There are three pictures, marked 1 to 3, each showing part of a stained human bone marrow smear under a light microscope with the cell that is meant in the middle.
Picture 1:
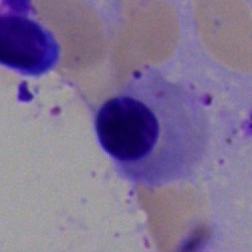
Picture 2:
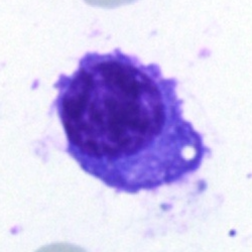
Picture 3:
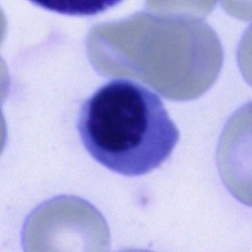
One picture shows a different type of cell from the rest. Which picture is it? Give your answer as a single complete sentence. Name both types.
All pictures except 2 show erythroblasts; picture 2 shows a plasma cell.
